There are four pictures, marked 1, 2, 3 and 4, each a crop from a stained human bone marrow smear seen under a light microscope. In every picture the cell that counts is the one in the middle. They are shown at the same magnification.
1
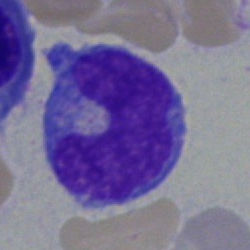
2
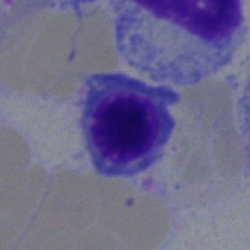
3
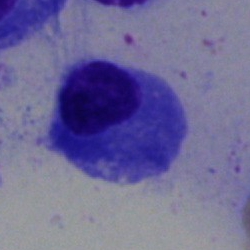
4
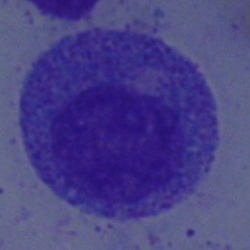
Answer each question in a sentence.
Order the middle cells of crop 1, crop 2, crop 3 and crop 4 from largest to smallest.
From the largest down, the order is 4, 1, 3, 2.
